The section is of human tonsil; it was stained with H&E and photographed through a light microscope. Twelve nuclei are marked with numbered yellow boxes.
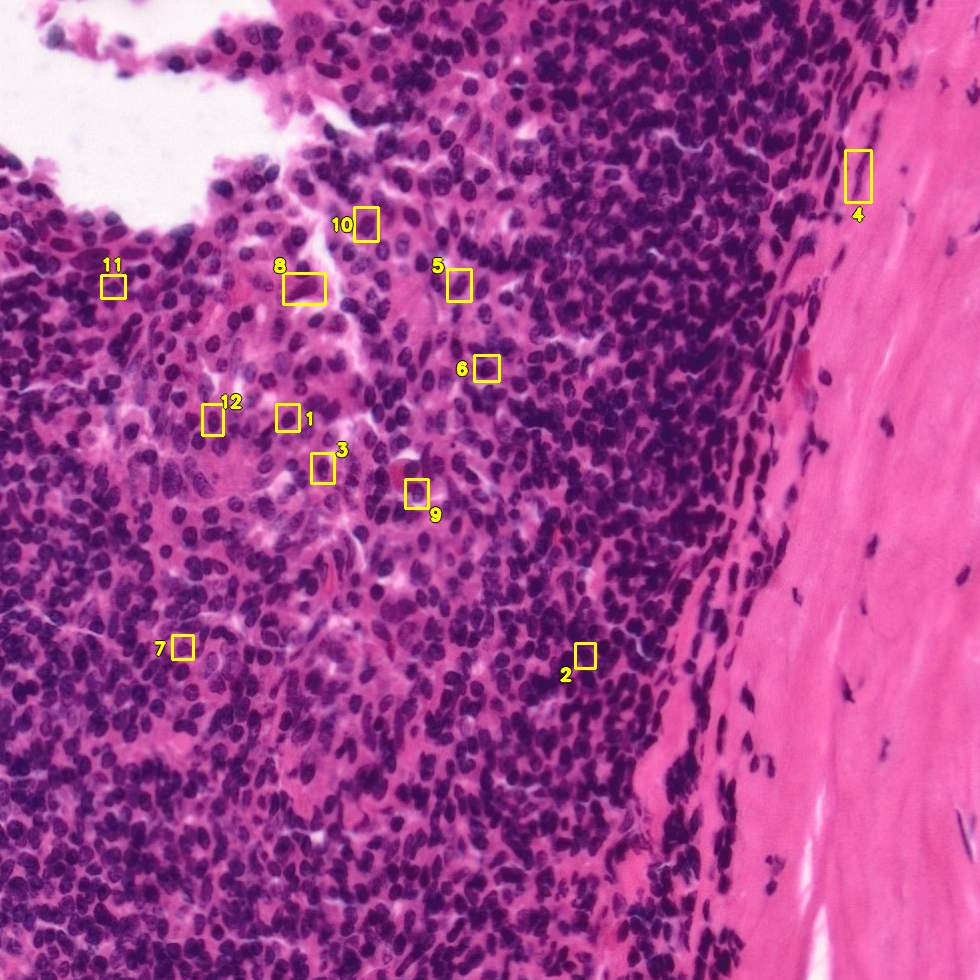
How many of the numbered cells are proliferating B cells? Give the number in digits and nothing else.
0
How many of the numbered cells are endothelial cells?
1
